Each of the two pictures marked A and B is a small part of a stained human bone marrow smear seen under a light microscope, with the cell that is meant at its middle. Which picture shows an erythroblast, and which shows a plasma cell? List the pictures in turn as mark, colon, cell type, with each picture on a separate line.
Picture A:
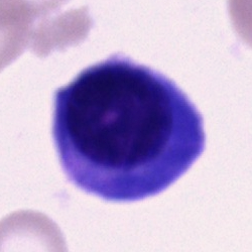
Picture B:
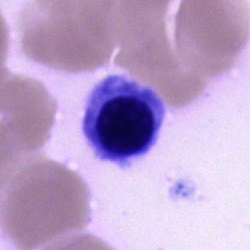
A: plasma cell
B: erythroblast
